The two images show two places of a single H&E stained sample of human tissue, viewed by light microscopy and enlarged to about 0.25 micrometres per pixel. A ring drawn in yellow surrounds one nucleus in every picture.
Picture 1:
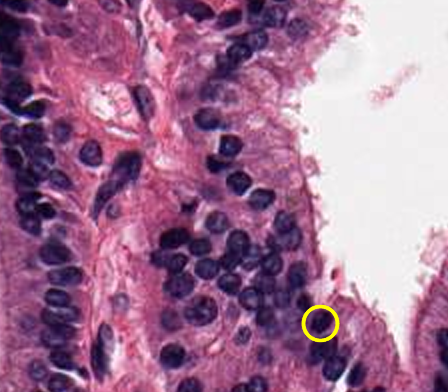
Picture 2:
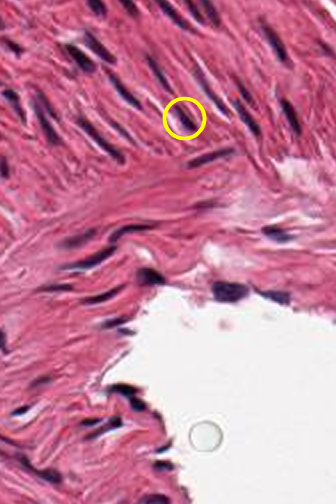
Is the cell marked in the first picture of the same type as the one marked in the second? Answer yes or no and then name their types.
No, the first is a thyroid follicular cell and the second a smooth muscle cell.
